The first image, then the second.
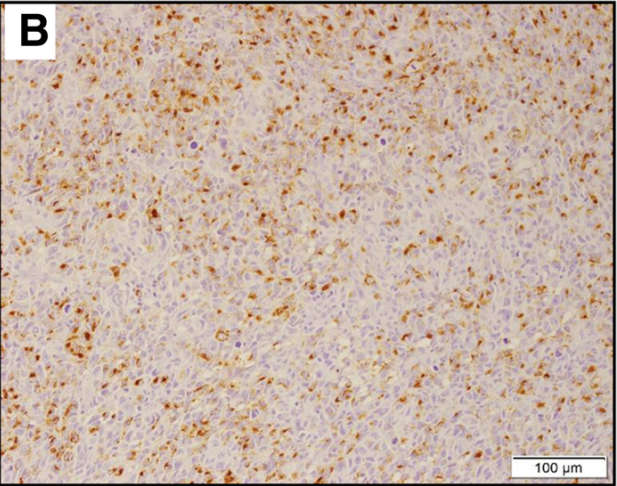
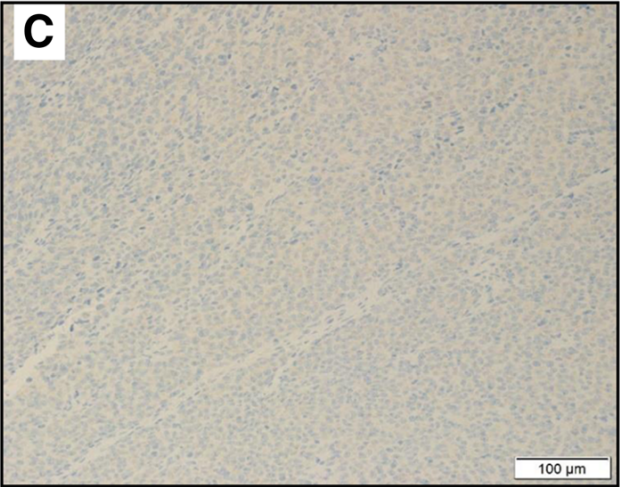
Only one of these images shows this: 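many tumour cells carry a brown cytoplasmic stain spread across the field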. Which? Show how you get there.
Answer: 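Second image: the cells are almost all pale with blue nuclei and little or no brown. First image: numerous cells throughout the field have brown granular cytoplasm. So: the first image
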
